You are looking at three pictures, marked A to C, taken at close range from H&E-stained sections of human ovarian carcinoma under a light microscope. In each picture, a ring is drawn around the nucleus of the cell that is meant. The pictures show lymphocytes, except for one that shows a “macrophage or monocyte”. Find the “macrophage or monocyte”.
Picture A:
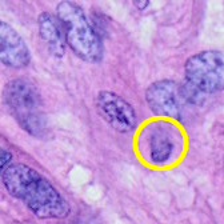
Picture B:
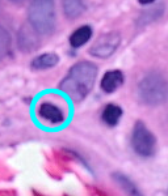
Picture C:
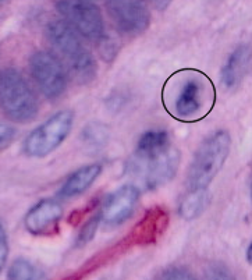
A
